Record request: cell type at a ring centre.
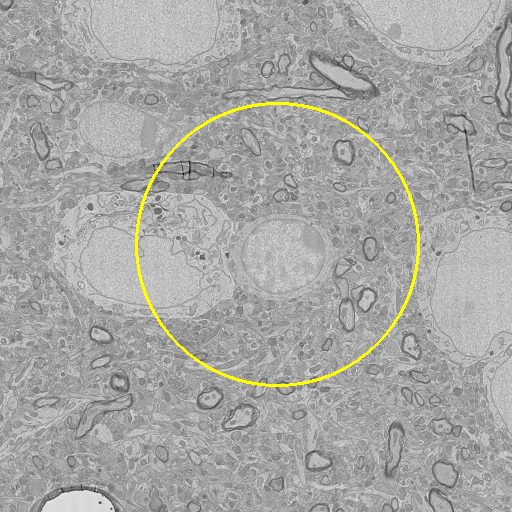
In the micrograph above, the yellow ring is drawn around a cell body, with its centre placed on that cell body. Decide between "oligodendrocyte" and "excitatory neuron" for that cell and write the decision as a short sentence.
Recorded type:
The cell centred in the yellow ring is an oligodendrocyte.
